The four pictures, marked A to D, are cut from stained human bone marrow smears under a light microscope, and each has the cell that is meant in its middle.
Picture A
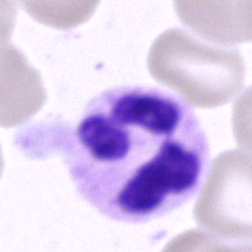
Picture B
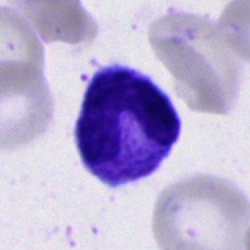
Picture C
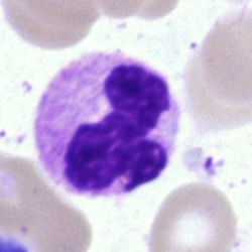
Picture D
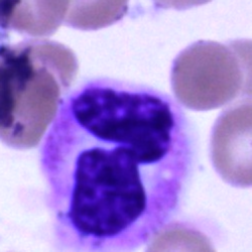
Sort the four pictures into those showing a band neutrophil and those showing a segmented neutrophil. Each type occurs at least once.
A: segmented neutrophil
B: band neutrophil
C: segmented neutrophil
D: segmented neutrophil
